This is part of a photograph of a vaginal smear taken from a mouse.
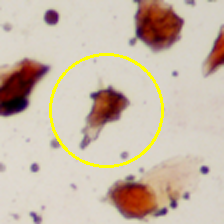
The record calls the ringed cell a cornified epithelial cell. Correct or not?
Correct; it is a cornified epithelial cell.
